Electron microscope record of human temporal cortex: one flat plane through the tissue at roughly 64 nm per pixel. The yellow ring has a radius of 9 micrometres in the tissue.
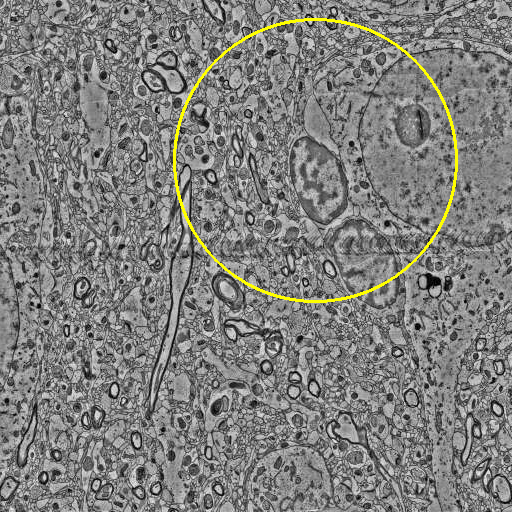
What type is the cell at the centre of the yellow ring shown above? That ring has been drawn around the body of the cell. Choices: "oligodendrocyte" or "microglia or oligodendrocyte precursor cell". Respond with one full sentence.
My answer is that a microglial cell or oligodendrocyte precursor cell lies at the centre of the yellow ring above.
